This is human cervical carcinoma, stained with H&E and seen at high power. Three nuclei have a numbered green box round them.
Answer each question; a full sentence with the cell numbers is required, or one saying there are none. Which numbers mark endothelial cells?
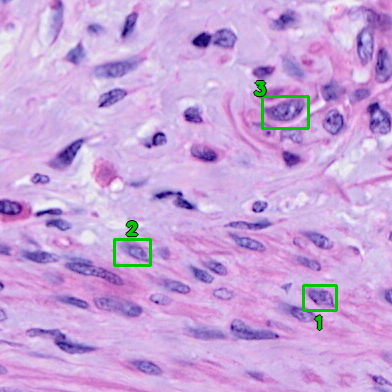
Cell 3 is the single numbered cell that is an endothelial cell.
